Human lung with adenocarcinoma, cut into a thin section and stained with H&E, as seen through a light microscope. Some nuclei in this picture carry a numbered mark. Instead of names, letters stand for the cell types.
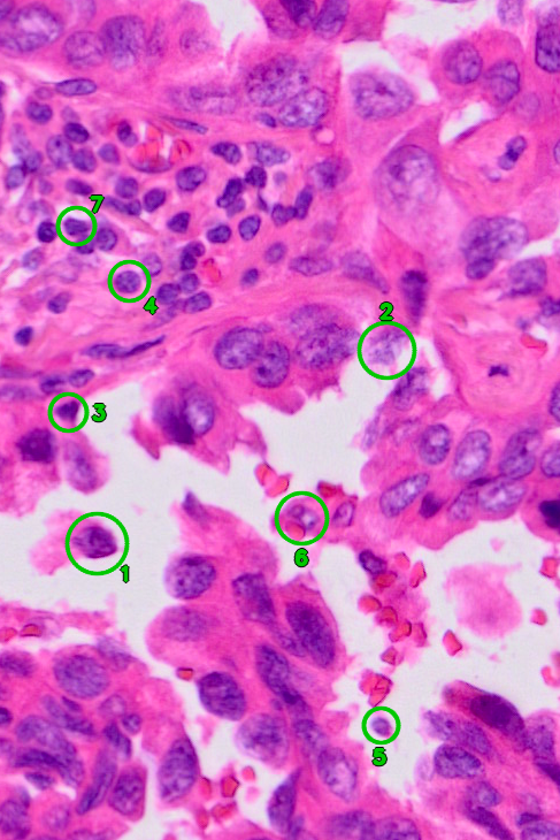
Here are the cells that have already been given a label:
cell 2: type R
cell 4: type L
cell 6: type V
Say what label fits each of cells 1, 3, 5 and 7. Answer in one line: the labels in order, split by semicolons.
type R; type L; type L; type L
